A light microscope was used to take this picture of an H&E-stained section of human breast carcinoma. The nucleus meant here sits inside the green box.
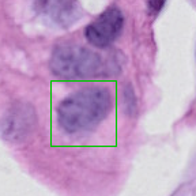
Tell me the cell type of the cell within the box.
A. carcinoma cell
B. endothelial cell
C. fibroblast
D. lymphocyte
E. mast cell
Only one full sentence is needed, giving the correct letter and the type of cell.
Looking at the options, pick A; the cell within the box is a carcinoma cell.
